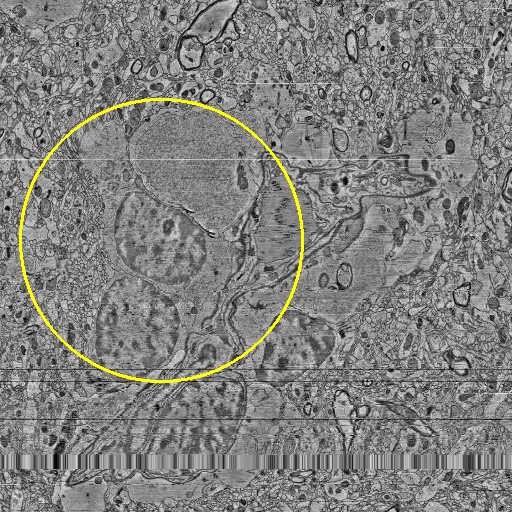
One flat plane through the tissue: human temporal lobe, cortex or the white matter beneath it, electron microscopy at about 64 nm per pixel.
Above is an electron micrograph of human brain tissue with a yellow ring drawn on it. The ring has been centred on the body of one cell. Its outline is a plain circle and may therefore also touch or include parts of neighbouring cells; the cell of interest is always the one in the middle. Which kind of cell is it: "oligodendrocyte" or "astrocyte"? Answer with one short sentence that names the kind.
The ring's central cell body is that of an oligodendrocyte.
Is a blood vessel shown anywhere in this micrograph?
Yes, one is visible.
